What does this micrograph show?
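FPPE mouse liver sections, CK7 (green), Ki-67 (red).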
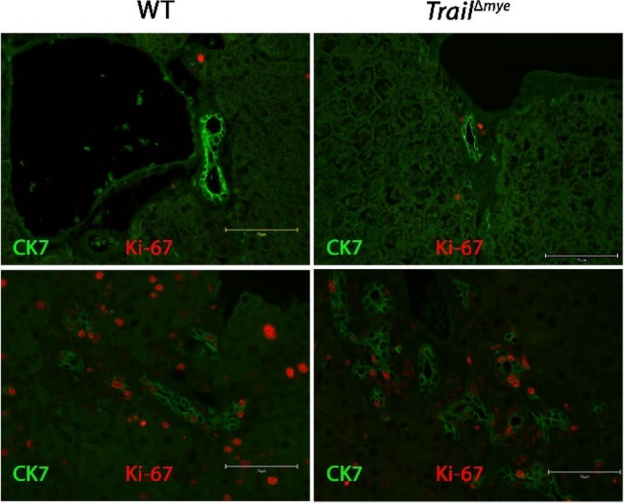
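In the upper images a large vessel lumen appears as a black space, with one or two compact ductal profiles beside it and almost no red nuclei. In the lower images many small, irregular green ductular structures are scattered through the tissue, and numerous round red nuclei lie both within these ductal cells and in surrounding larger cells of the parenchyma.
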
